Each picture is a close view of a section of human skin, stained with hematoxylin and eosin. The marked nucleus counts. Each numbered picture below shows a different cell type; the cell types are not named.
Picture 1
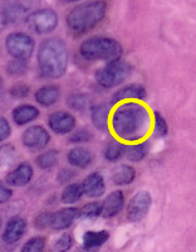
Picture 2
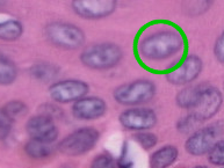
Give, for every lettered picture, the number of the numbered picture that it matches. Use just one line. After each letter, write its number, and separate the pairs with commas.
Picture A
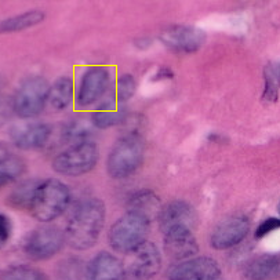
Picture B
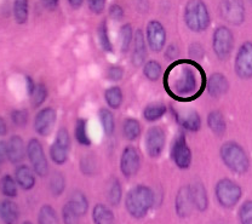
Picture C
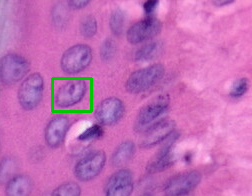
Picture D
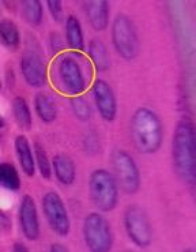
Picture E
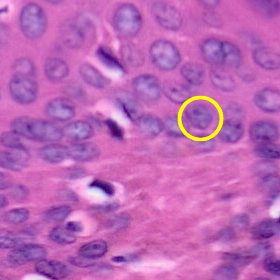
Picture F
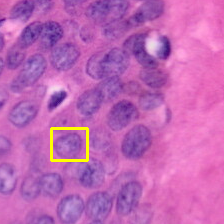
A 1, B 1, C 2, D 2, E 1, F 2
